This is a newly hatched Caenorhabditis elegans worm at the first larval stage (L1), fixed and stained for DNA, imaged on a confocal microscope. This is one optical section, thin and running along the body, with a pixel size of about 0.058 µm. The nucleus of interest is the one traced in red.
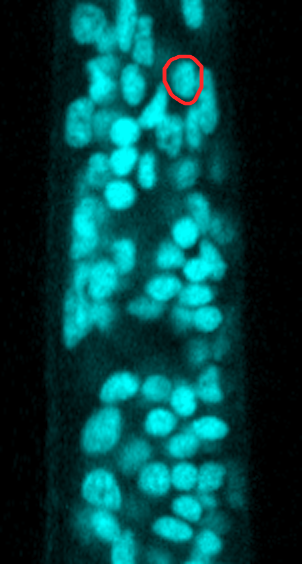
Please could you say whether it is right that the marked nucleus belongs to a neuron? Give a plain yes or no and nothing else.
no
